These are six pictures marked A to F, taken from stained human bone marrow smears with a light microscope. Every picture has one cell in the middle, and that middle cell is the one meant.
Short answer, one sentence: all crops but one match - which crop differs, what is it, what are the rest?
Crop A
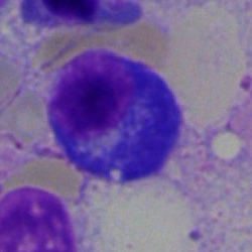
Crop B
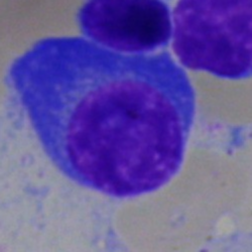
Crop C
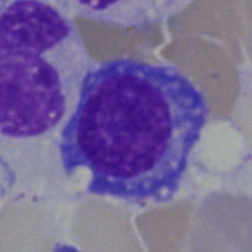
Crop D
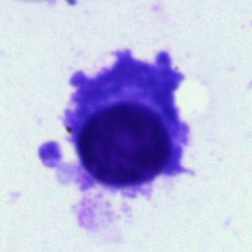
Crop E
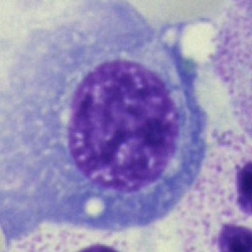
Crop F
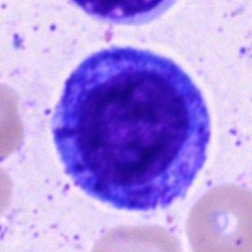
Crop F is the one to flag: it is a promyelocyte, and the rest show plasma cells.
